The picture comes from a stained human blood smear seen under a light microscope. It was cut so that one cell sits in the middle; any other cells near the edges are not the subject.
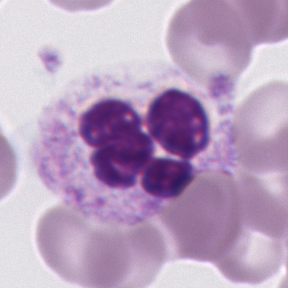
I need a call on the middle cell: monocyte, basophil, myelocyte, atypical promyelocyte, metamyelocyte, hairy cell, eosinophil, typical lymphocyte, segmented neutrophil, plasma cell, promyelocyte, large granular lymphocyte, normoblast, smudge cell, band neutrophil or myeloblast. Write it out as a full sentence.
The central cell shown in this smear crop is a segmented neutrophil.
